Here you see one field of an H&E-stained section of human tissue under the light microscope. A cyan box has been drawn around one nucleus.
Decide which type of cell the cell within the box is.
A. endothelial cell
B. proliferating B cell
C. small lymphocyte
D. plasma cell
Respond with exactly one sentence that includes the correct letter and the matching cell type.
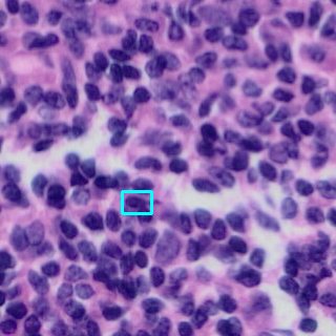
The item is answered by option C: the cell within the box is a small lymphocyte.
